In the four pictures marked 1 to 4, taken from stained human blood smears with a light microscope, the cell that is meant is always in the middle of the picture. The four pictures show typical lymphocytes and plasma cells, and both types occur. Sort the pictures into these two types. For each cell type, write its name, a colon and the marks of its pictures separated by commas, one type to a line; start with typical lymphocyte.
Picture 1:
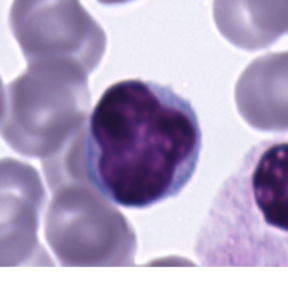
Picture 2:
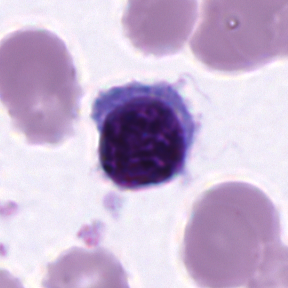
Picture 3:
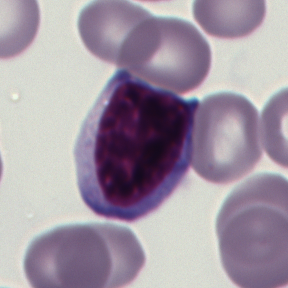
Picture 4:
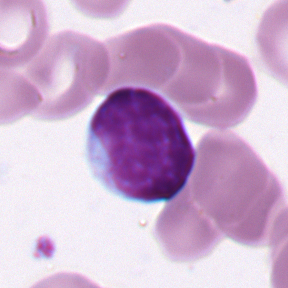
typical lymphocyte: 1, 3, 4
plasma cell: 2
